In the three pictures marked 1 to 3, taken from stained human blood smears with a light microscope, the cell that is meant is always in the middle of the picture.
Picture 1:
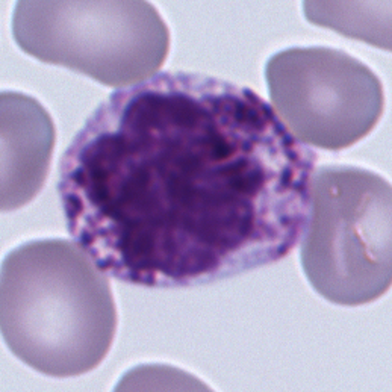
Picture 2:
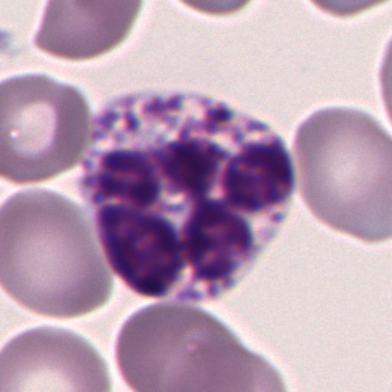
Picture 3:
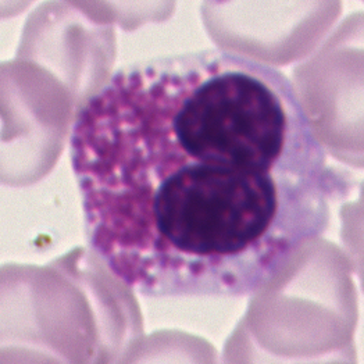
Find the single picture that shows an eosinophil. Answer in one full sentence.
Picture 3 shows the eosinophil.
